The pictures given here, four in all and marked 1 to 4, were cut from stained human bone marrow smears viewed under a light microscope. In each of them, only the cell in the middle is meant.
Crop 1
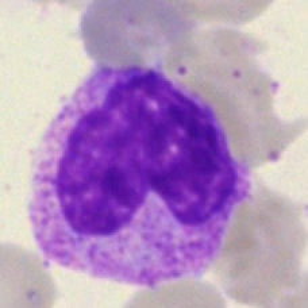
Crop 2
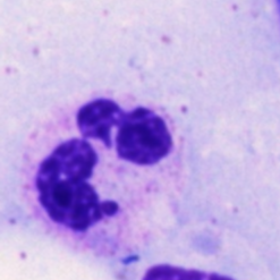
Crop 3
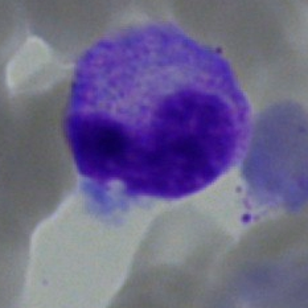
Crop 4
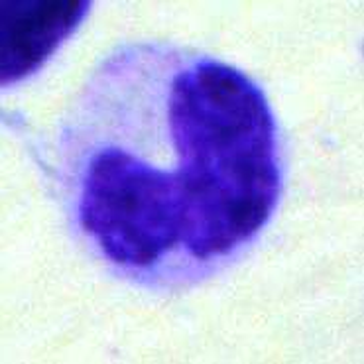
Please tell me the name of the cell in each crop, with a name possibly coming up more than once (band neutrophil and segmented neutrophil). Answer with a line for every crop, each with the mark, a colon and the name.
1: band neutrophil
2: segmented neutrophil
3: band neutrophil
4: band neutrophil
